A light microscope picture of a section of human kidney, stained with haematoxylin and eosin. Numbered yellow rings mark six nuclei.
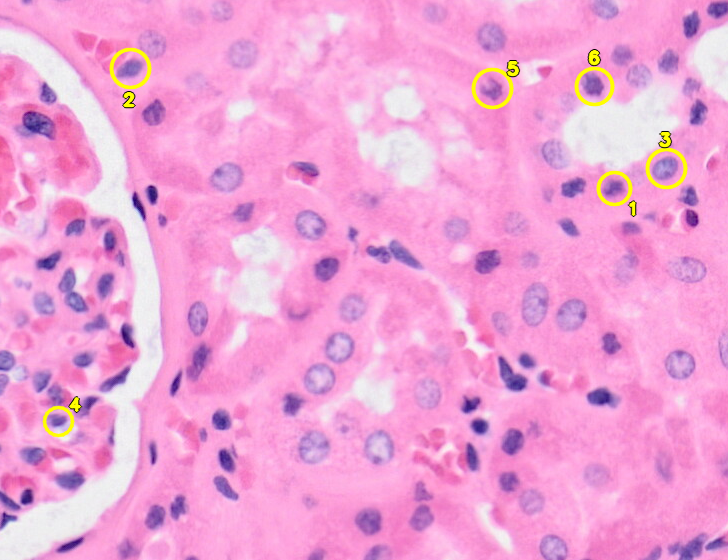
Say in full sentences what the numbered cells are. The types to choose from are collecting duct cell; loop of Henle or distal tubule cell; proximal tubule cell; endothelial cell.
Cell 1 is a loop of Henle or distal tubule cell, cell 2 is an endothelial cell, cell 3 is a loop of Henle or distal tubule cell, cell 4 is an endothelial cell, cell 5 is a proximal tubule cell and cell 6 is a loop of Henle or distal tubule cell.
